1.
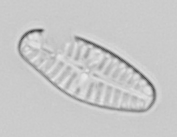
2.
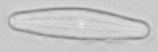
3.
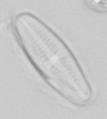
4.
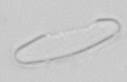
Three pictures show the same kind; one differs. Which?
Picture 1: Planothidium, while the others are Achnanthidium.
